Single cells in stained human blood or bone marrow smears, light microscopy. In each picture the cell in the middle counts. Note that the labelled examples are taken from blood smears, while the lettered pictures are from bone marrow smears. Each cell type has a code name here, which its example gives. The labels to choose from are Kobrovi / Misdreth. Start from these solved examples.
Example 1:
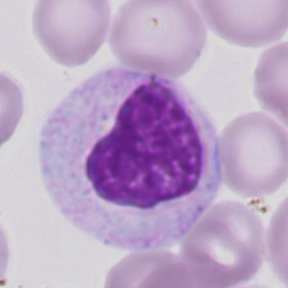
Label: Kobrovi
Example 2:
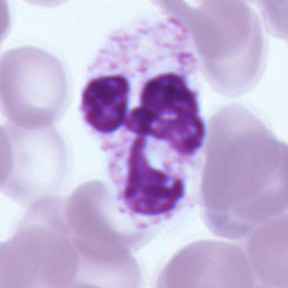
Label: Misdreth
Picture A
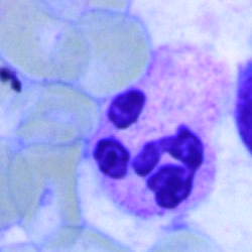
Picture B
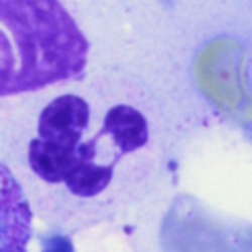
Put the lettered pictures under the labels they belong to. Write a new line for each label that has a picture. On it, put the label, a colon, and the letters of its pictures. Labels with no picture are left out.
Misdreth: A, B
